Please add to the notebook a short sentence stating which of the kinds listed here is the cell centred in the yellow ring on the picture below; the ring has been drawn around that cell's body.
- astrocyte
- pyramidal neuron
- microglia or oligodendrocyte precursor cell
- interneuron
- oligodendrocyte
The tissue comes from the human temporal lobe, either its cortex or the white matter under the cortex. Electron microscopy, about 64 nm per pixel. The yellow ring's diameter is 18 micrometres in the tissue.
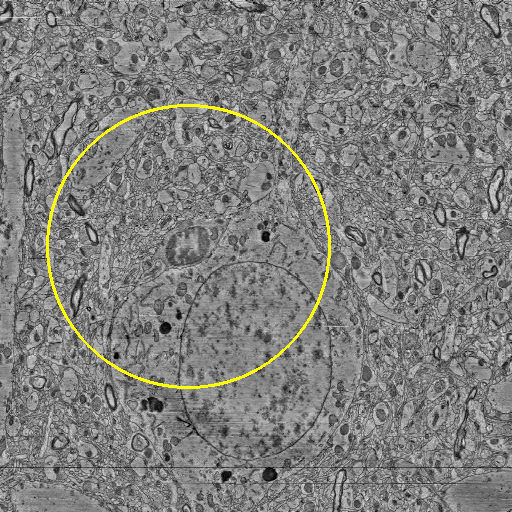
The cell centred in the yellow ring is an oligodendrocyte.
